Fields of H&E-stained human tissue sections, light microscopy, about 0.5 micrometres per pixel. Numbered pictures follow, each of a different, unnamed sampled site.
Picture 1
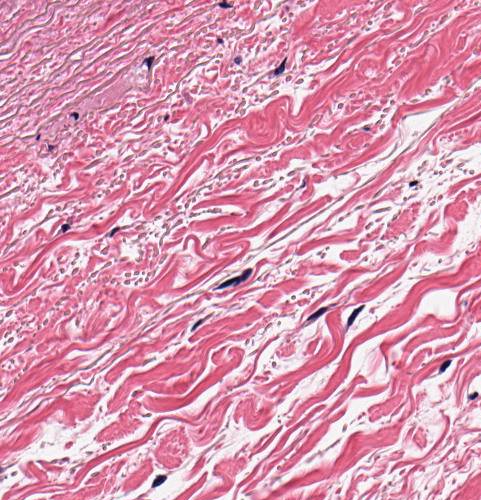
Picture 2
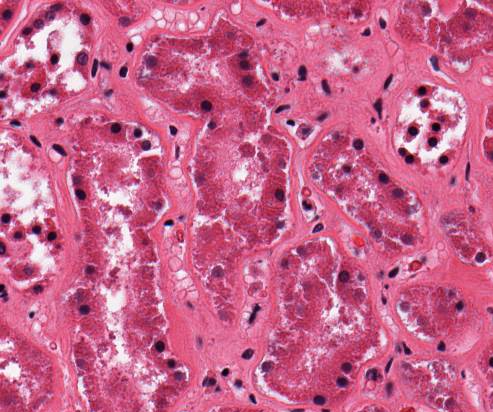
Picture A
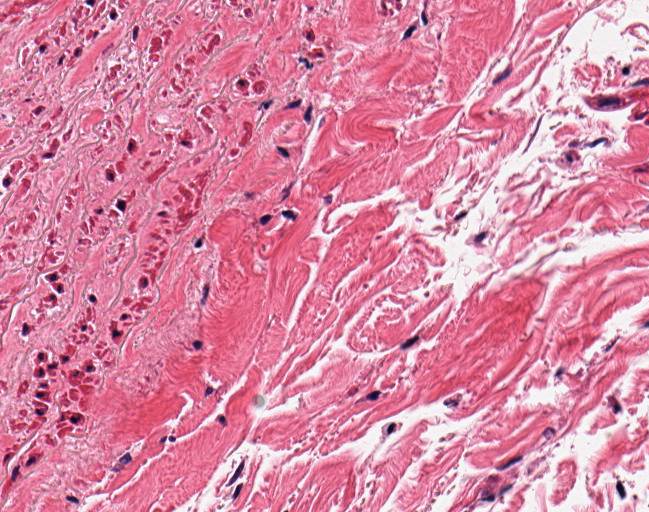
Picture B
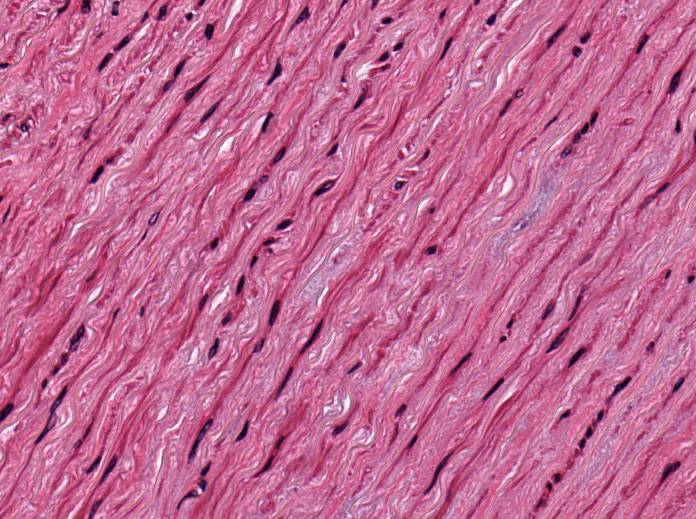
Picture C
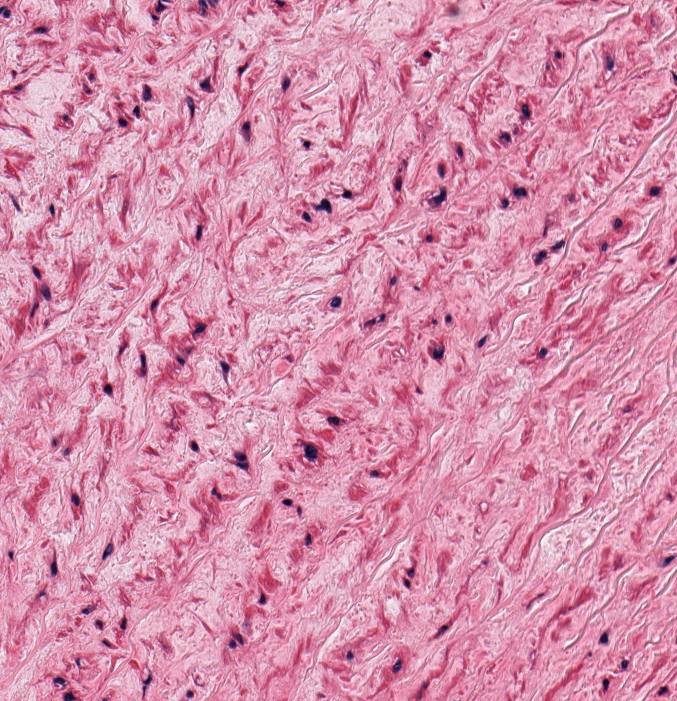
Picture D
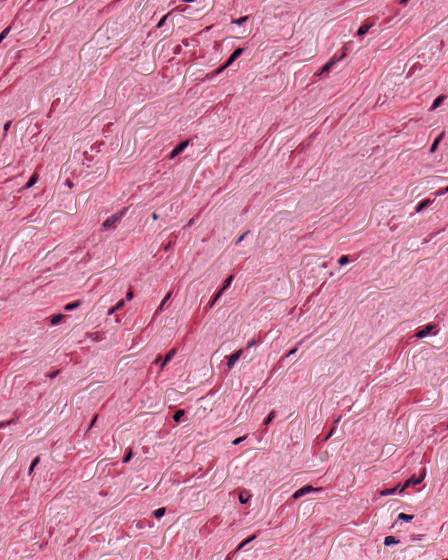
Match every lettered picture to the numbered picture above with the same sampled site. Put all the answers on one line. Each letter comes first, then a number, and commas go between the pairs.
A 1, B 1, C 1, D 1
